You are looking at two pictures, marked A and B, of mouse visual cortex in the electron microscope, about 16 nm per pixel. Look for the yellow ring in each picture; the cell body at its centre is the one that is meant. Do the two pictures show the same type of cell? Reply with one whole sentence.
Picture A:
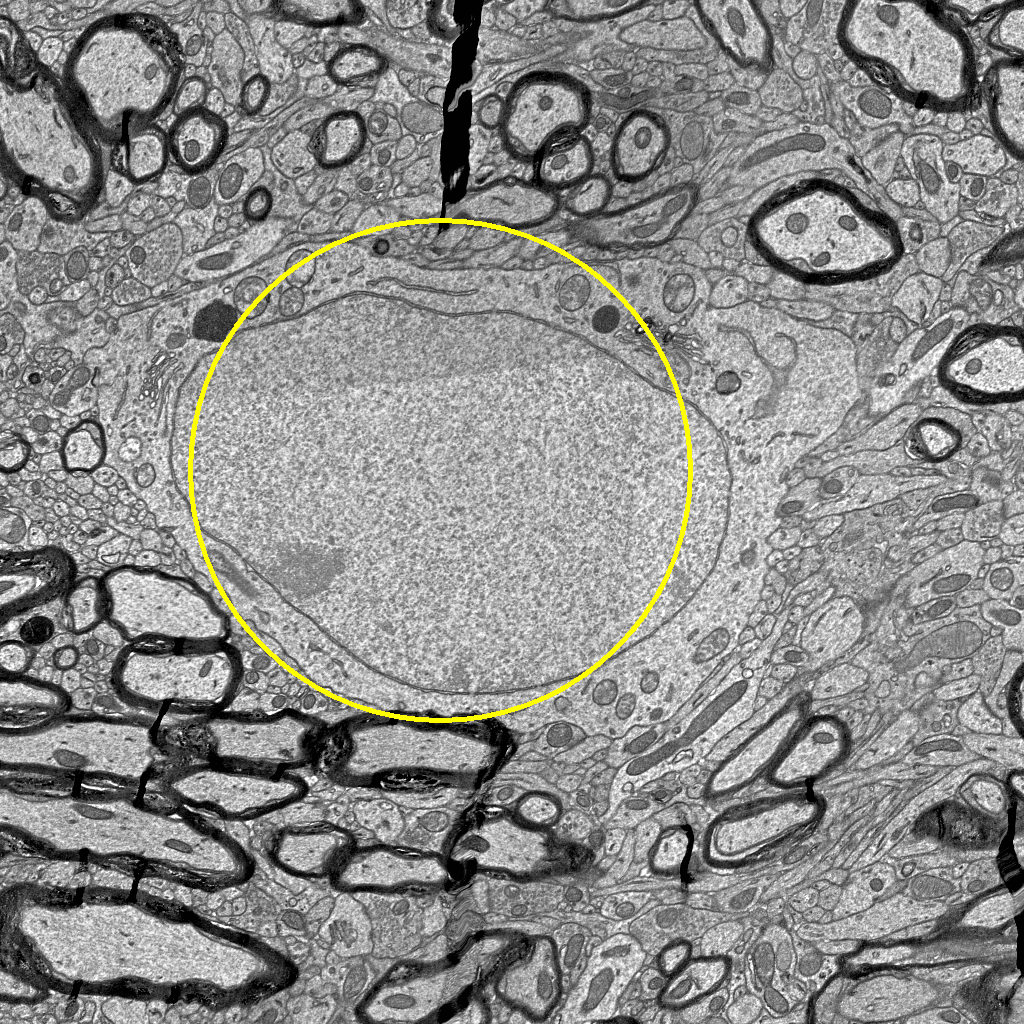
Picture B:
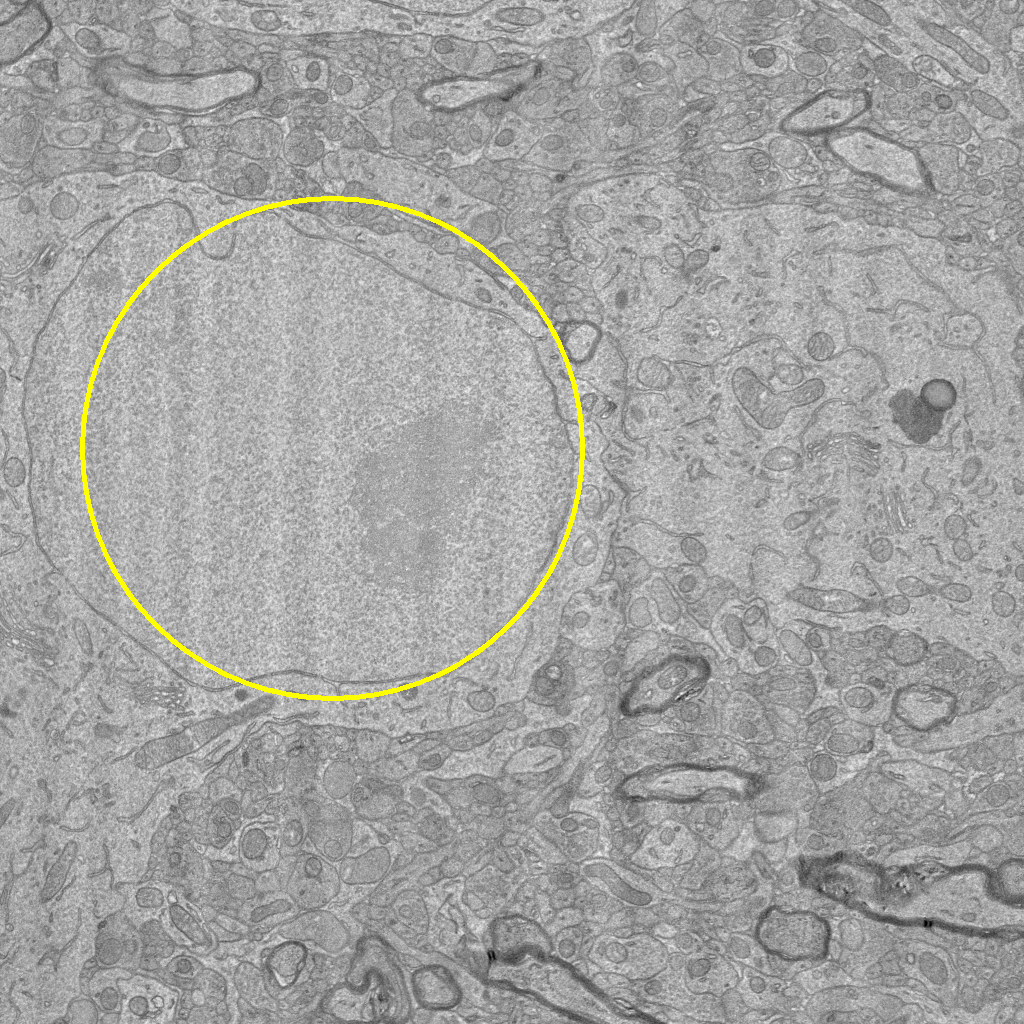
Yes, both cells are excitatory neurons.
